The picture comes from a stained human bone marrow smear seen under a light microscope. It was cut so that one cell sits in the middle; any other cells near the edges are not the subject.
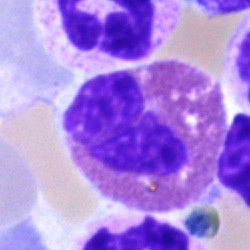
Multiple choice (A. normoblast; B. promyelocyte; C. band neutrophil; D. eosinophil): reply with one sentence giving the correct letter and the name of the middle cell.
Option D is correct, naming the cell in the middle as an eosinophil.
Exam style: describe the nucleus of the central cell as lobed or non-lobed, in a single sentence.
The cell carries one compact nucleus shaped round, oval or like a kidney.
